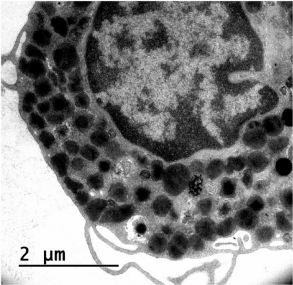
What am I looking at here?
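The cytoplasm below and beside the nucleus is crowded with many round to oval granules of high electron density, closely packed against one another. Thin membrane folds extend outward from the cell surface at the lower edge.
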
